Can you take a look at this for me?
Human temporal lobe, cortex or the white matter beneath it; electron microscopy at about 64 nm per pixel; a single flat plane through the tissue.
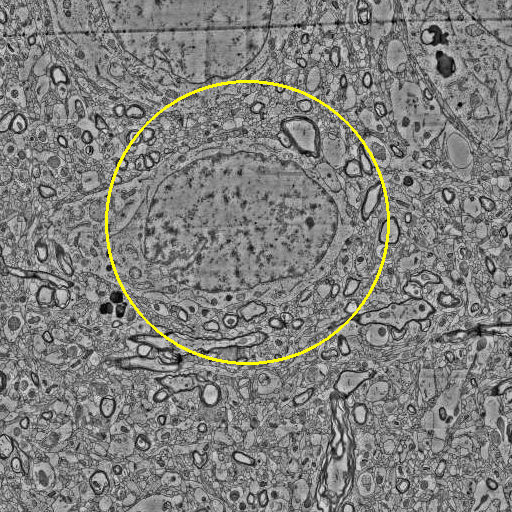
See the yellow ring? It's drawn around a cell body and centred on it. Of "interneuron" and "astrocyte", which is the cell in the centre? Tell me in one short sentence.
The one in the centre is an interneuron.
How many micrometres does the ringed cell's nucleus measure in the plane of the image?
The nucleus works out at approximately 13 by 9 micrometres in this plane.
